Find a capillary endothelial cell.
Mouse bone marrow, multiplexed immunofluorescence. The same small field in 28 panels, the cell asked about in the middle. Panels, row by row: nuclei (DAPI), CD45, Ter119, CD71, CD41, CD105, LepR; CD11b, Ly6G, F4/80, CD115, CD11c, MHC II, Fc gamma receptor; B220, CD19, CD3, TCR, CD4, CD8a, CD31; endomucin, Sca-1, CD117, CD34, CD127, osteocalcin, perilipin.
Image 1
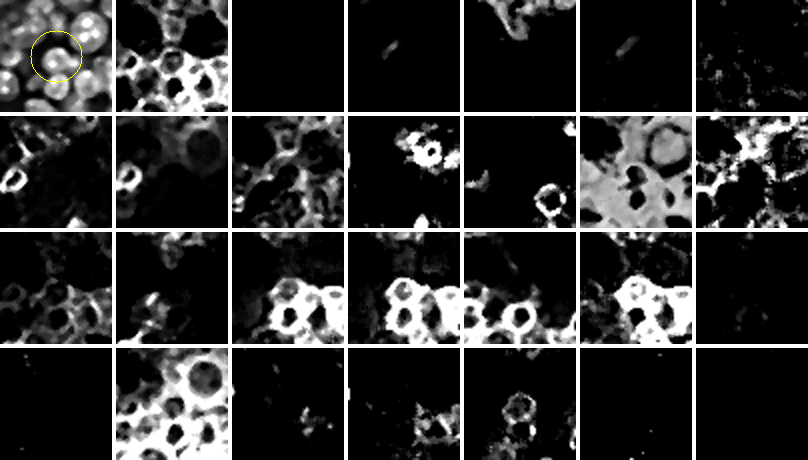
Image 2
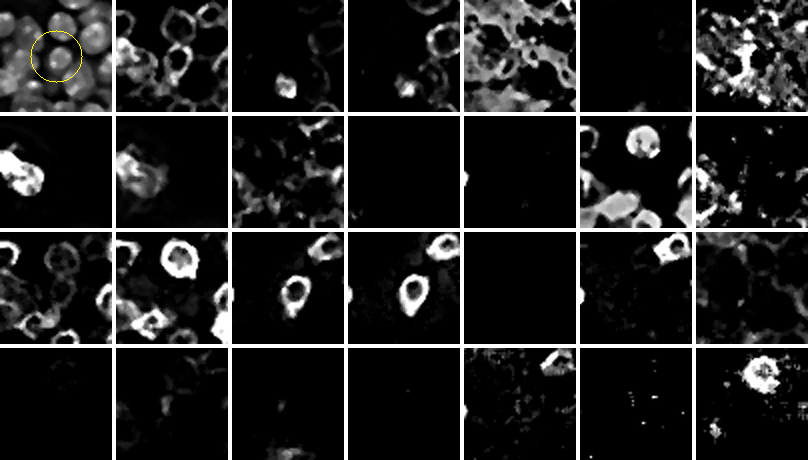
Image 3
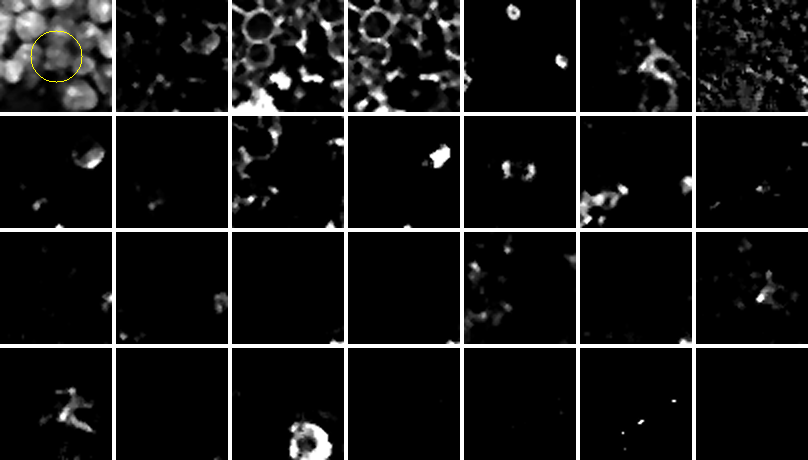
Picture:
3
